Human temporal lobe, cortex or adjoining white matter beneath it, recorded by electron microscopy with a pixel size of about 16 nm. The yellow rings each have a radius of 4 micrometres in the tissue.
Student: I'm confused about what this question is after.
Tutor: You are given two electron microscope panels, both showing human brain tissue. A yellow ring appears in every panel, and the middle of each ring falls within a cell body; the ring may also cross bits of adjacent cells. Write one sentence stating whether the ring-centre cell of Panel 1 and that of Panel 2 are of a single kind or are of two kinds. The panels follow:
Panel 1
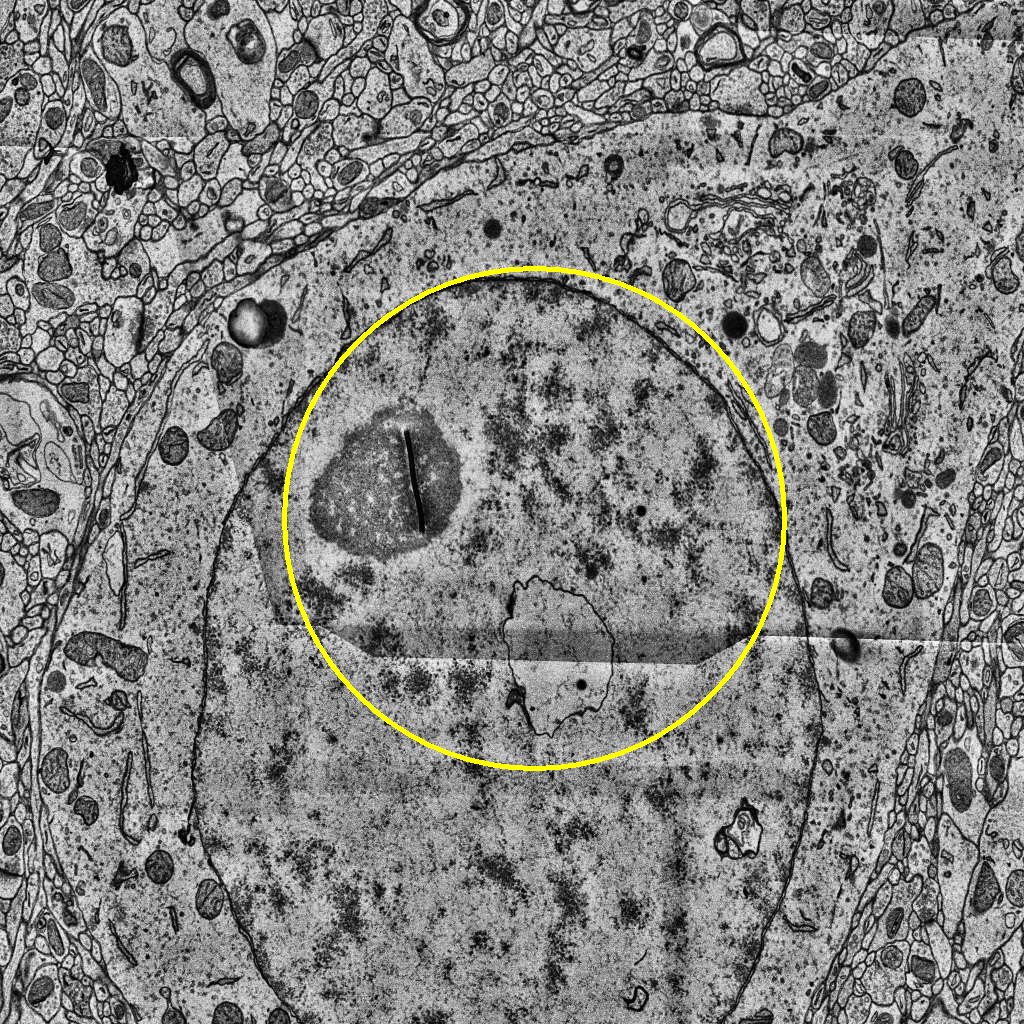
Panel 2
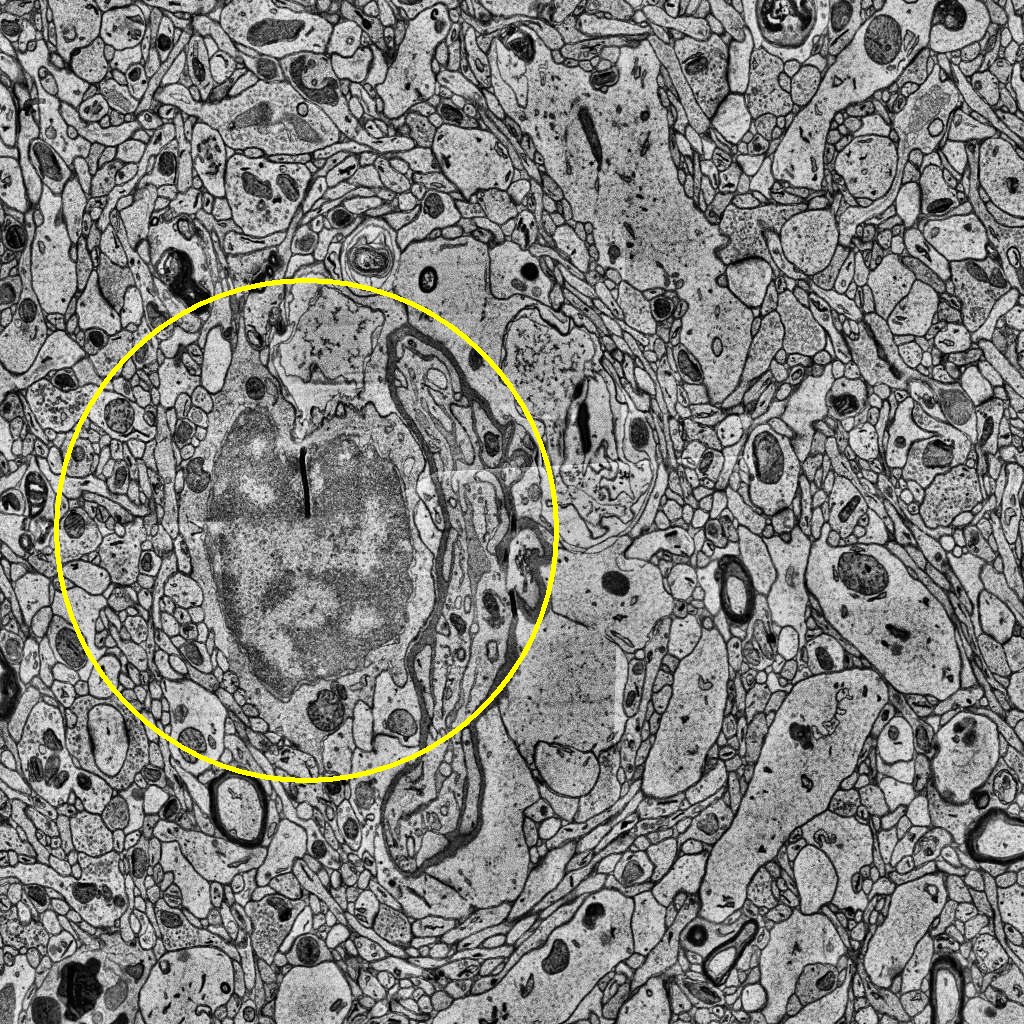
Here, the Panel 1 ring-centre cell and the Panel 2 ring-centre cell are of two kinds.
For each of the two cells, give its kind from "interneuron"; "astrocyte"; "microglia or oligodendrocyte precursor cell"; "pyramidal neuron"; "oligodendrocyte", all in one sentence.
The first picture shows a pyramidal neuron at the ring centre and the second shows an oligodendrocyte.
